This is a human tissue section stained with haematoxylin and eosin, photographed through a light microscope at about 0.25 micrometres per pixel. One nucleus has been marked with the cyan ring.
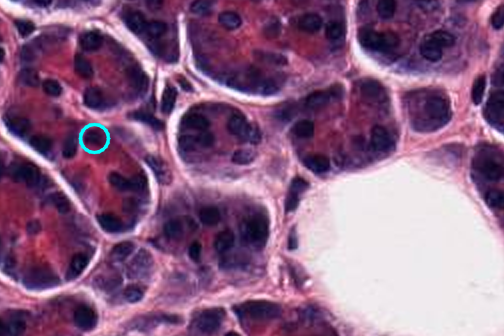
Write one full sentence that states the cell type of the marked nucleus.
The marked nucleus forms part of a pancreatic acinar cell.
